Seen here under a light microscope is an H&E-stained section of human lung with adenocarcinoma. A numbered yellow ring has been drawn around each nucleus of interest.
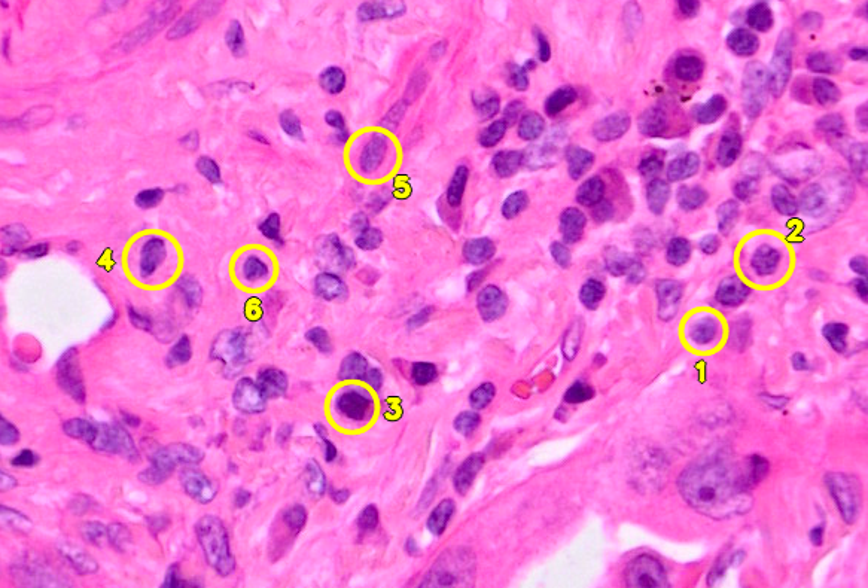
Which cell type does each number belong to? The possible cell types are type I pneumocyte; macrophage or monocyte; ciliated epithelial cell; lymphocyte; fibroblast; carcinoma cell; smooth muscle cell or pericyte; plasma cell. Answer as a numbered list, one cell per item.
1. lymphocyte
2. lymphocyte
3. plasma cell
4. lymphocyte
5. smooth muscle cell or pericyte
6. lymphocyte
